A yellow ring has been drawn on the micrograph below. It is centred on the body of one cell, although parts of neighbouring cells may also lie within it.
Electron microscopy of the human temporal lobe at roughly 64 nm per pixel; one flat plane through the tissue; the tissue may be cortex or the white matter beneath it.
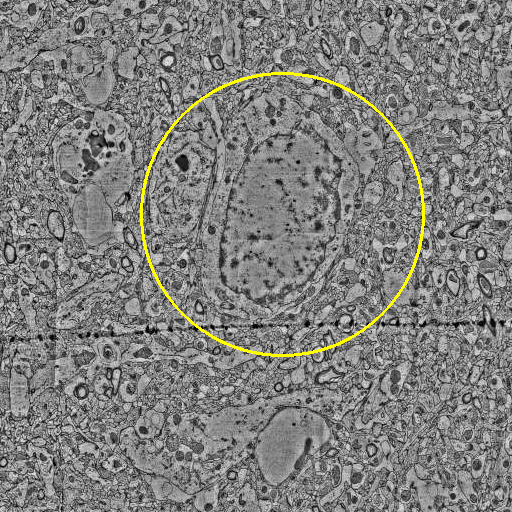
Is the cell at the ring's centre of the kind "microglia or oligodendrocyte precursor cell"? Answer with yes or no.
no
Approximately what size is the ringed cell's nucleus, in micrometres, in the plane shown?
In this plane the nucleus is clearly longer than it is wide, at approximately 11 by 7 micrometres.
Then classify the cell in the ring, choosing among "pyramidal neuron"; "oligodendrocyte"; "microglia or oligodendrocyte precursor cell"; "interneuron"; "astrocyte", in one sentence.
It is an interneuron at the centre of the ring.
